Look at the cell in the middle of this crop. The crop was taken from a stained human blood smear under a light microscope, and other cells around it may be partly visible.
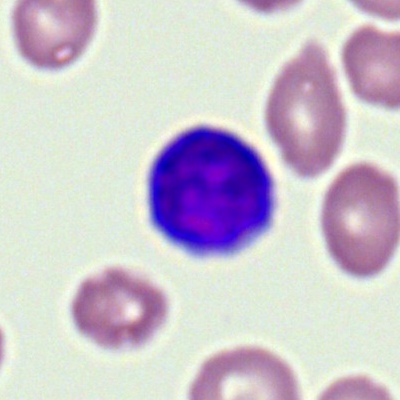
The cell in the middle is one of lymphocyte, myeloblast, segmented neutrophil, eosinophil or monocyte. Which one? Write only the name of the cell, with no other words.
lymphocyte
